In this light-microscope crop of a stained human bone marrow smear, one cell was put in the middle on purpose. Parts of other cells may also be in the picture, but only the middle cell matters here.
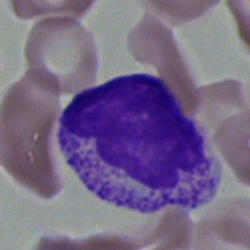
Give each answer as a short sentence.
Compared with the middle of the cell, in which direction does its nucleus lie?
The nucleus sits off-centre, toward the top.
